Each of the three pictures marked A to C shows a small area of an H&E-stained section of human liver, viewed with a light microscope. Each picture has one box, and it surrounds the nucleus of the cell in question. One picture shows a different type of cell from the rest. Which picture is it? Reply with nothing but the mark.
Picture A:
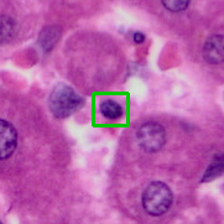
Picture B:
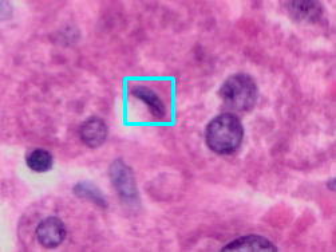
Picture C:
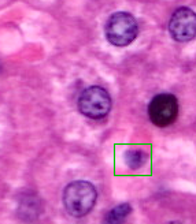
B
